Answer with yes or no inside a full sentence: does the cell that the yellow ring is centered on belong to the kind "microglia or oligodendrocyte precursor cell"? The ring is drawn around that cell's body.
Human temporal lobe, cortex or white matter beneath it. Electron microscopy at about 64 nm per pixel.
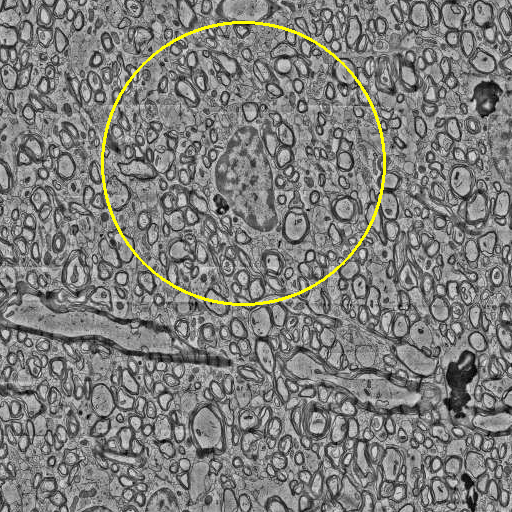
Yes, that kind describes the cell the yellow ring is centered on in the picture.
